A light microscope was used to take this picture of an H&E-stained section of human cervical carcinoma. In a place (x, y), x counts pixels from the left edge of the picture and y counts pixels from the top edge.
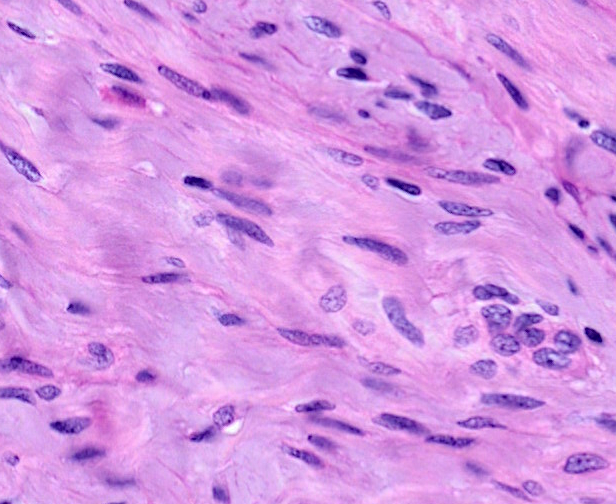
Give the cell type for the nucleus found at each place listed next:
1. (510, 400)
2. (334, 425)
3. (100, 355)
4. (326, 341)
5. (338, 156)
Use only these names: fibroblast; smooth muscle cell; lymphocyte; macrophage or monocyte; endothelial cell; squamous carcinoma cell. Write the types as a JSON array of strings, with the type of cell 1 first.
["fibroblast", "fibroblast", "smooth muscle cell", "smooth muscle cell", "smooth muscle cell"]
